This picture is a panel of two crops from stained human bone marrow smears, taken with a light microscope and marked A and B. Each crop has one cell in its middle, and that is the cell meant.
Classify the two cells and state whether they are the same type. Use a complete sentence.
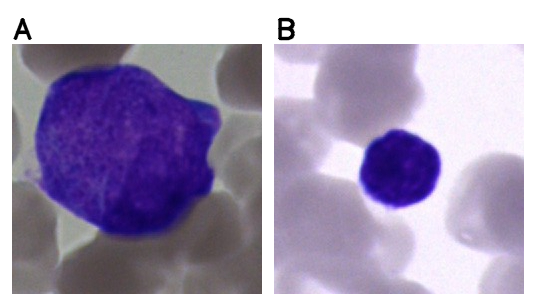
No, it is crop A that shows a blast, and crop B that shows a lymphocyte.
